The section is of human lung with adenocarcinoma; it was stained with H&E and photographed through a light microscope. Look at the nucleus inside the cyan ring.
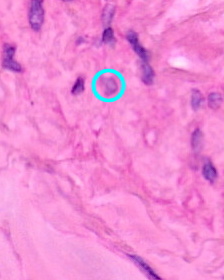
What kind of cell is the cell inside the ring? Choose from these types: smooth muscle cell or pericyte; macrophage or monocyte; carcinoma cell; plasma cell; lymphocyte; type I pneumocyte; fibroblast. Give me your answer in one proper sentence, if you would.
On this particular slide, the cell inside the ring is a smooth muscle cell or pericyte.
